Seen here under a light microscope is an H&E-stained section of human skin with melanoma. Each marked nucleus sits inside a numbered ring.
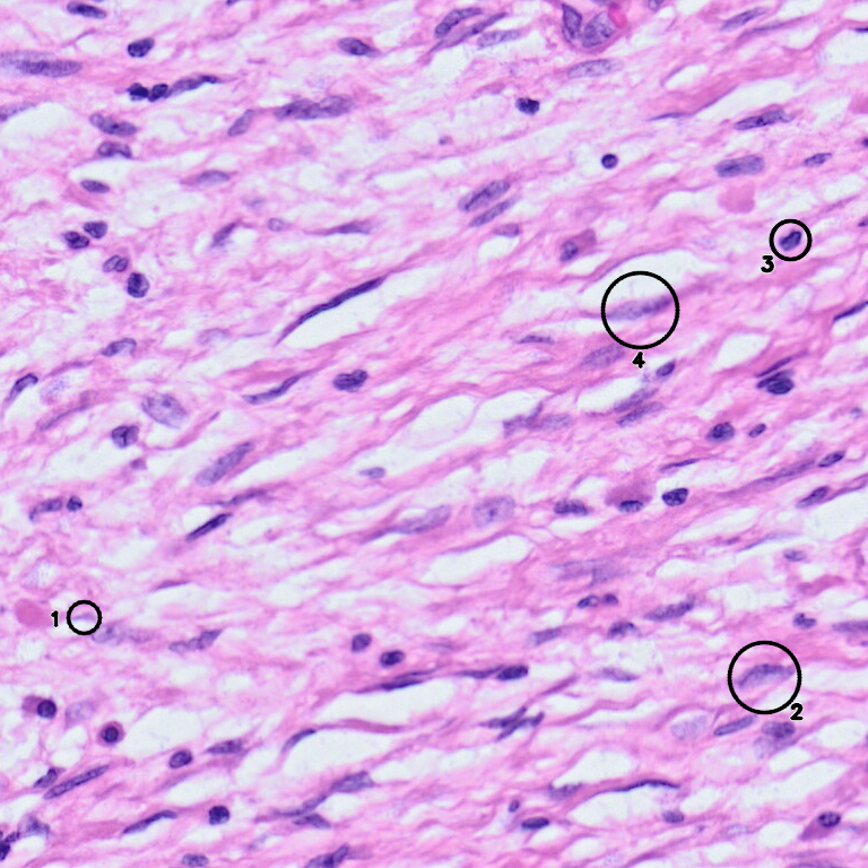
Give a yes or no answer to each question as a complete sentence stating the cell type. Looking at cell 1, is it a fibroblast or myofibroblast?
Yes, the cell that number 1 points to is a fibroblast or myofibroblast.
